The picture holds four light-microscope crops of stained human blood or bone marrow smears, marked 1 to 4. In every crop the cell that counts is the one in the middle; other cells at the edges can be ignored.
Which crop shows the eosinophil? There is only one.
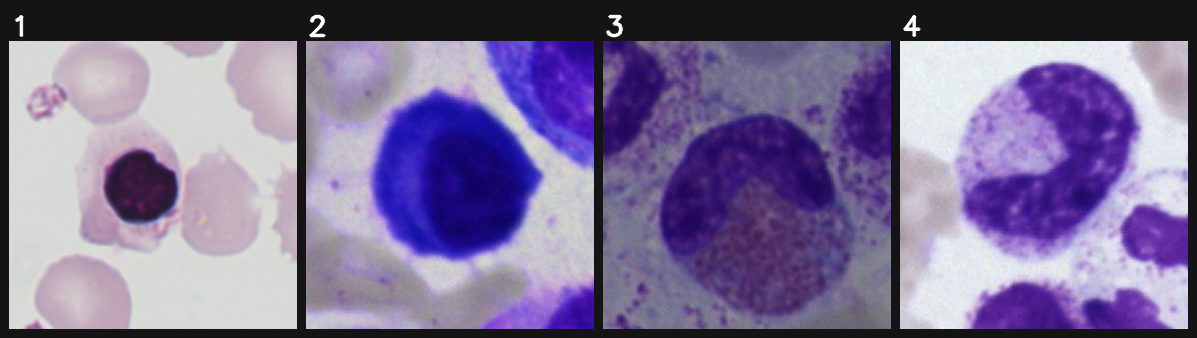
3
